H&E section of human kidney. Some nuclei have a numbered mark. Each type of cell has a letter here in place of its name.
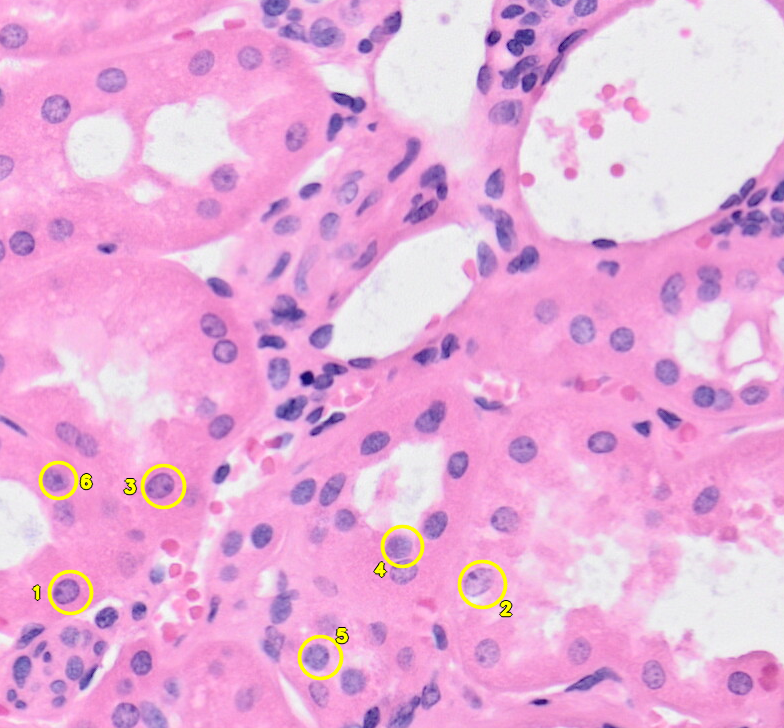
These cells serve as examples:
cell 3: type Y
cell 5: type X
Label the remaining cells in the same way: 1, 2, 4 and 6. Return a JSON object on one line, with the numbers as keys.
{"1": "type Y", "2": "type Y", "4": "type X", "6": "type Y"}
